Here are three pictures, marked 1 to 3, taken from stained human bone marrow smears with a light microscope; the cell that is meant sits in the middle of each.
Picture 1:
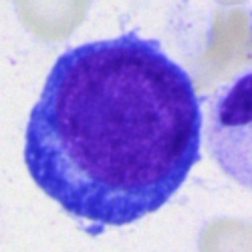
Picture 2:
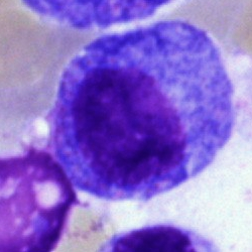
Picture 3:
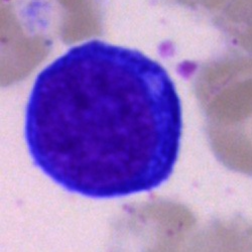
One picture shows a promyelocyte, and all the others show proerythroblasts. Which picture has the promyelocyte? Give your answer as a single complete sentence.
Picture 2 is the one that shows the promyelocyte.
